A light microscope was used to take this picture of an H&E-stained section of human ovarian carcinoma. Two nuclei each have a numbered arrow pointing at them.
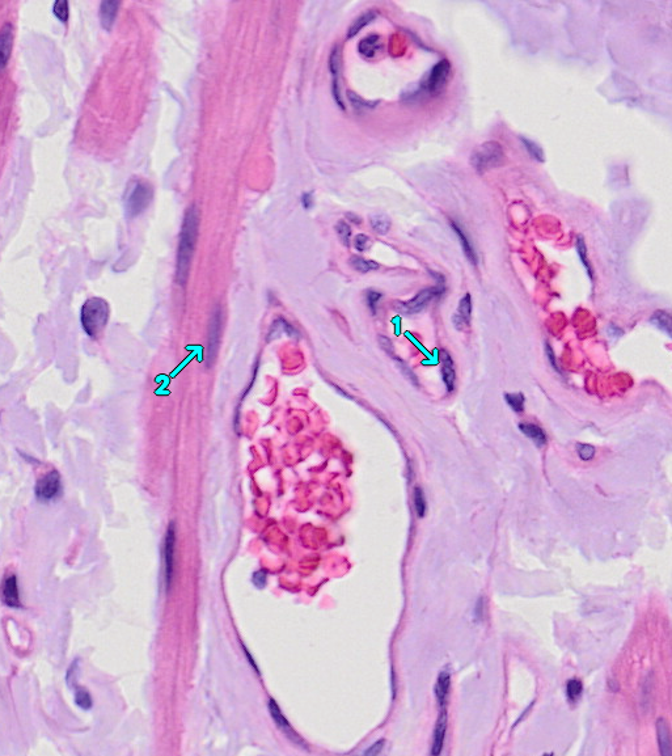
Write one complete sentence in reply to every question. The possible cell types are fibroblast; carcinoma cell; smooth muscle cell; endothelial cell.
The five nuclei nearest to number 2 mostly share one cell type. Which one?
Of the five nuclei nearest to number 2, most belong to endothelial cells.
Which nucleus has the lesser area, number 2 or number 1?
The smaller nucleus is 1, and 2 covers roughly 2 times its area.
